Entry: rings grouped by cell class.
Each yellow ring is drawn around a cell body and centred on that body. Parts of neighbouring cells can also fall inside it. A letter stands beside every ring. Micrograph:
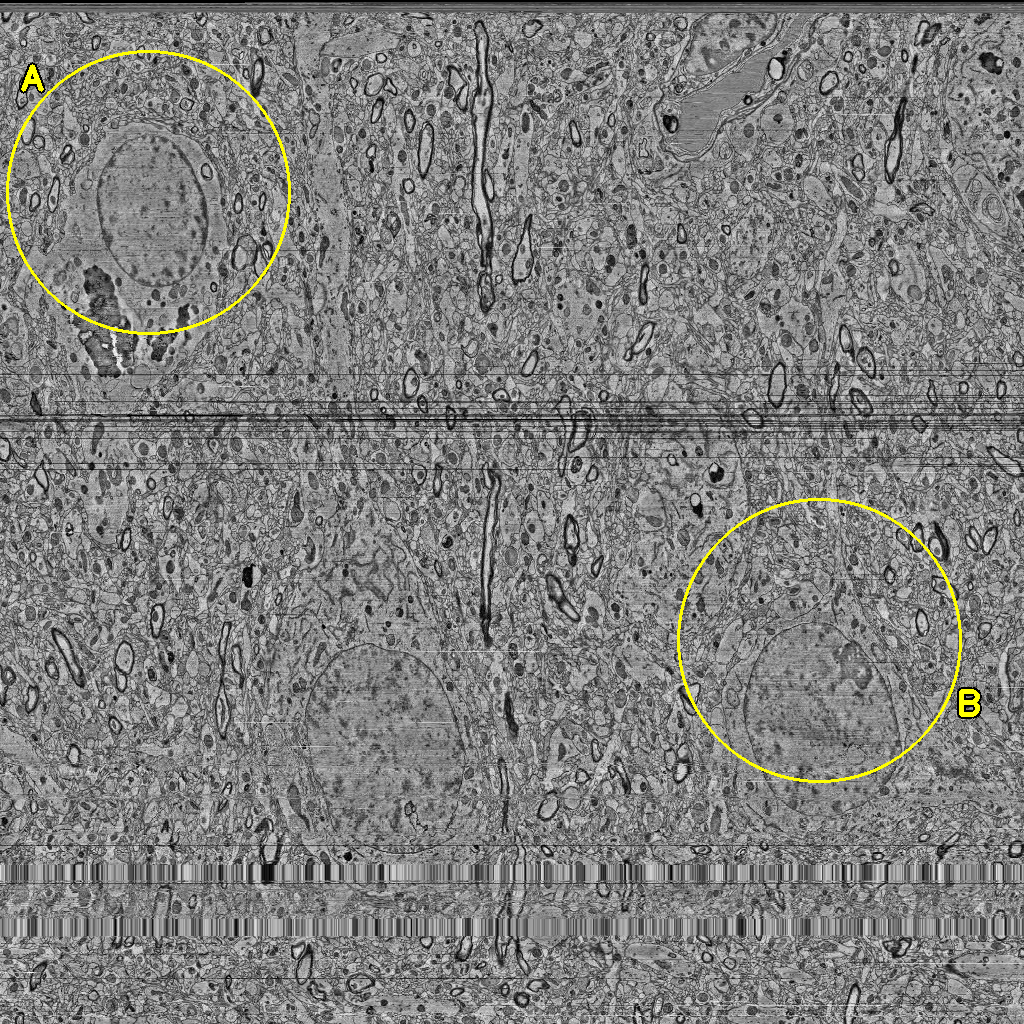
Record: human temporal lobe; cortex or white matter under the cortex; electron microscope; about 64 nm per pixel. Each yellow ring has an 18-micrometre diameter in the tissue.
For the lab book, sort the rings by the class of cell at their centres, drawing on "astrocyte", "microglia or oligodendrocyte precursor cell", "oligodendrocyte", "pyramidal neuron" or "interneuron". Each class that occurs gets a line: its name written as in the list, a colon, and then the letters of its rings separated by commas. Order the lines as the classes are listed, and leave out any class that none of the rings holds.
astrocyte: A
pyramidal neuron: B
